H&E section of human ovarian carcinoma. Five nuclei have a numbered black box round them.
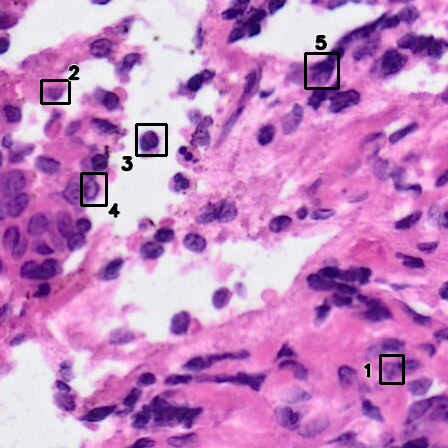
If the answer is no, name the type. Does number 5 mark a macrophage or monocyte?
No, it is a carcinoma cell.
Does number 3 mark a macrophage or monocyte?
No, it is a carcinoma cell.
